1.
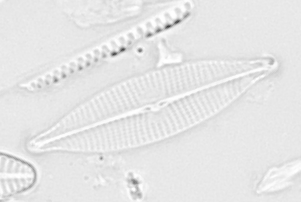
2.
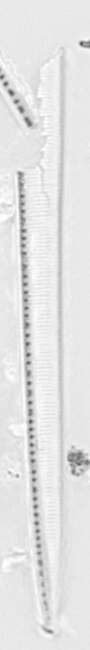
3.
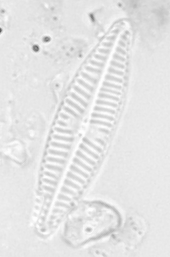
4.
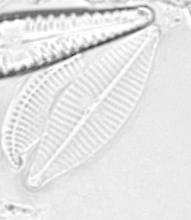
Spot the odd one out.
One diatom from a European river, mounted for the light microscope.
Picture 2 (Nitzschia among Navicula).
